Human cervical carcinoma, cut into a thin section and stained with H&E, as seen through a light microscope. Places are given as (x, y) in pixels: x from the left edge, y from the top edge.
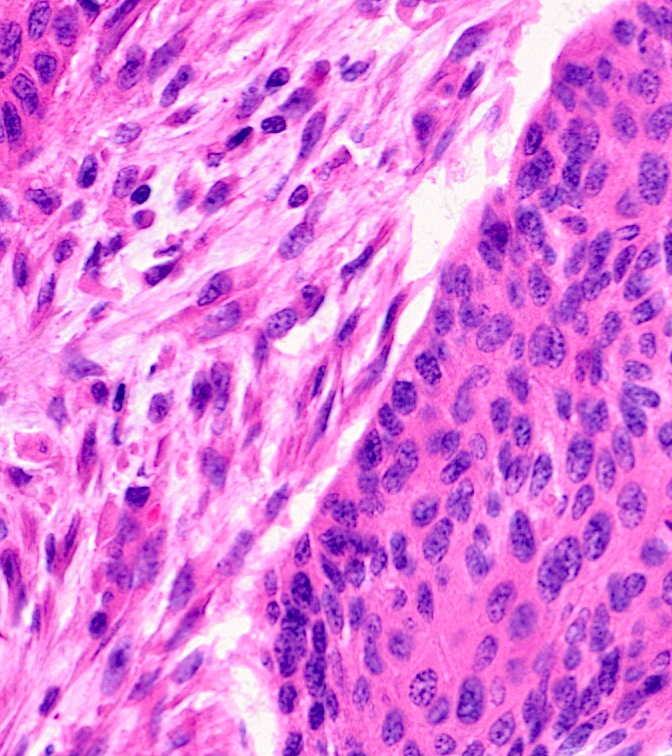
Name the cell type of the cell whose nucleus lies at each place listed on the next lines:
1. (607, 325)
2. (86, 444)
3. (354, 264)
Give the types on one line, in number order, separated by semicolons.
squamous carcinoma cell; fibroblast; fibroblast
